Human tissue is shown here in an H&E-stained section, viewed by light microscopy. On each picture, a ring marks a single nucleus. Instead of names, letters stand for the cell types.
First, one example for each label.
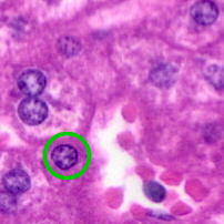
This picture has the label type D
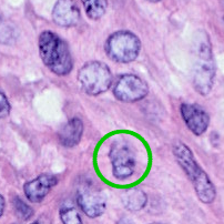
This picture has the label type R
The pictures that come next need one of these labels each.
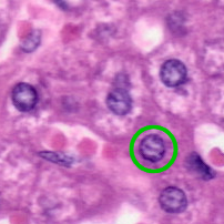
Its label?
type D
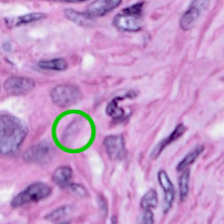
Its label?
type R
